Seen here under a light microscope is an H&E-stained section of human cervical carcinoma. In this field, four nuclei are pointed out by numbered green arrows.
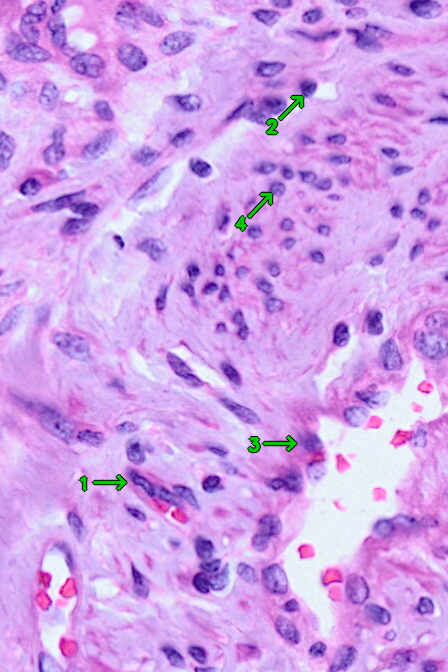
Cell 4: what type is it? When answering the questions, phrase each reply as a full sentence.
In the marked set, the cell given number 4 is a smooth muscle cell.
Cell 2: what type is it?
The cell pointed out as number 2 is a lymphocyte.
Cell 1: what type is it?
Heads up, the cell numbered 1 is an endothelial cell.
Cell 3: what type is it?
The cell to which the number 3 is assigned is an endothelial cell.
